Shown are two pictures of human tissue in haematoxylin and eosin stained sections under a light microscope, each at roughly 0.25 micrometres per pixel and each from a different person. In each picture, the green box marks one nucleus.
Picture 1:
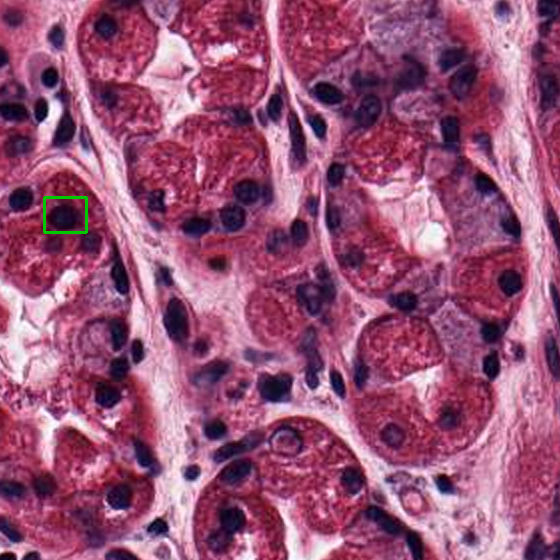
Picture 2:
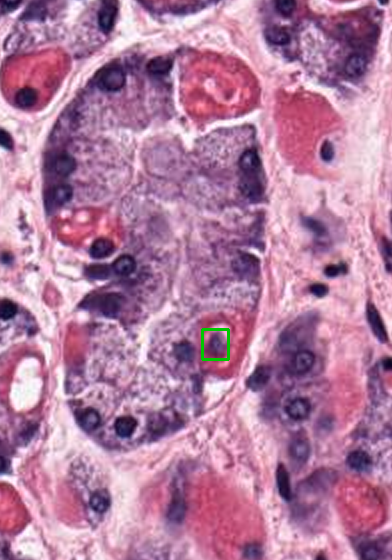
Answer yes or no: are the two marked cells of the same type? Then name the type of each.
Yes, both are parietal cells.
